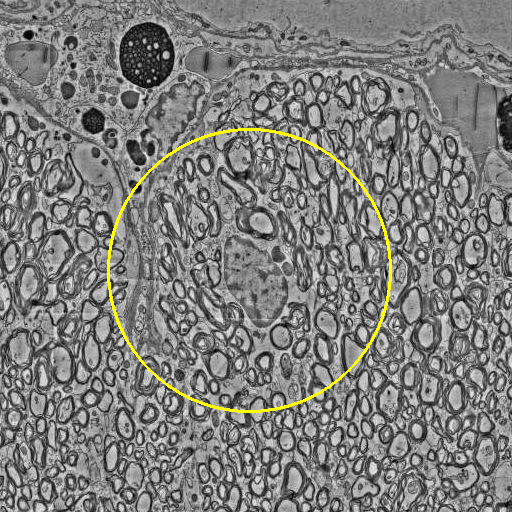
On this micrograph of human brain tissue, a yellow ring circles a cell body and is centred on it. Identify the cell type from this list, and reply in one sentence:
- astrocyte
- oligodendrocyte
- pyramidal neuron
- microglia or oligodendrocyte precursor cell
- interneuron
The cell at the centre is a microglial cell or oligodendrocyte precursor cell.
